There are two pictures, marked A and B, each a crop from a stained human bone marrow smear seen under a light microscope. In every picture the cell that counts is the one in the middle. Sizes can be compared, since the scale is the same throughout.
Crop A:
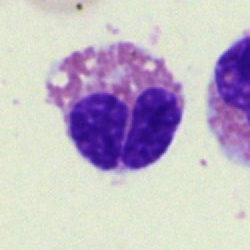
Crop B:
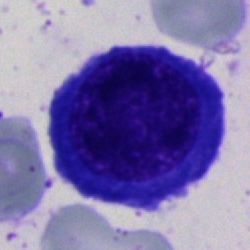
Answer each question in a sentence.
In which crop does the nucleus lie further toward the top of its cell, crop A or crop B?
In crop B the nucleus is shifted more toward the top.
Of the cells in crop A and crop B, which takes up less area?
Smaller is the cell in crop A, and the other is about 1.5 times as large in area.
